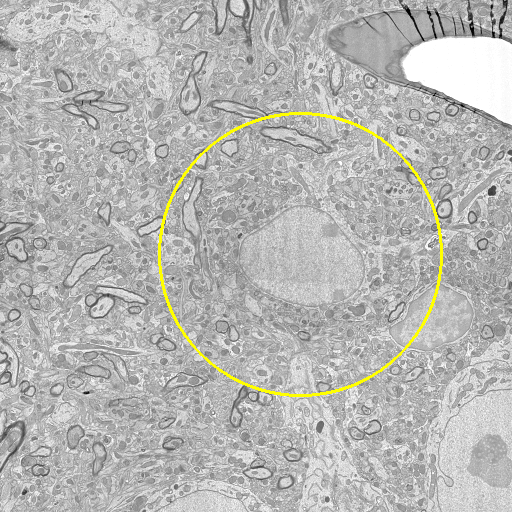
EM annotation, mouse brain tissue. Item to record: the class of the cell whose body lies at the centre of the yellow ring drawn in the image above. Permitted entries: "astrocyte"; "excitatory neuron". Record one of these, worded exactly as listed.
astrocyte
